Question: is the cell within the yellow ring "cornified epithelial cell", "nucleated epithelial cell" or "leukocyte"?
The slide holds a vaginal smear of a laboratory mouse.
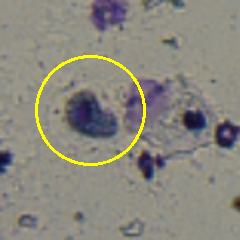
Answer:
nucleated epithelial cell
